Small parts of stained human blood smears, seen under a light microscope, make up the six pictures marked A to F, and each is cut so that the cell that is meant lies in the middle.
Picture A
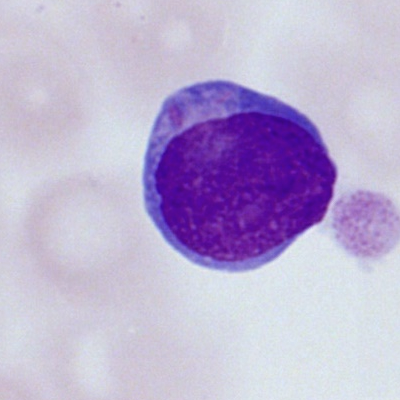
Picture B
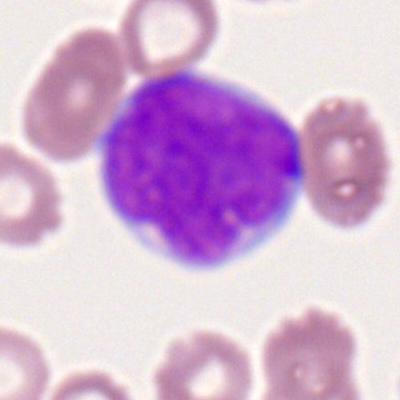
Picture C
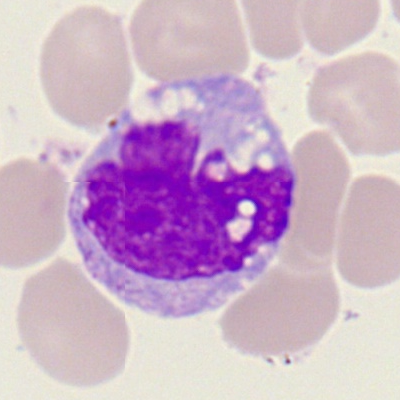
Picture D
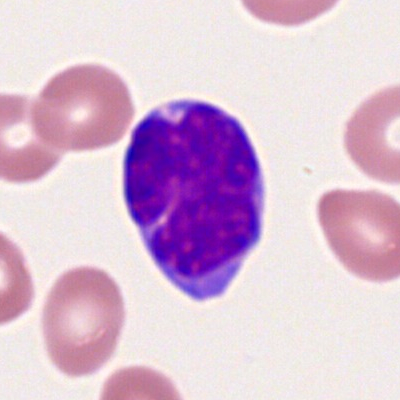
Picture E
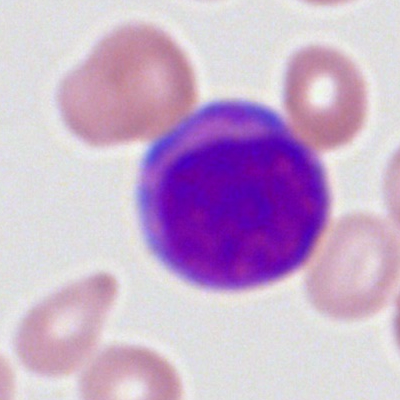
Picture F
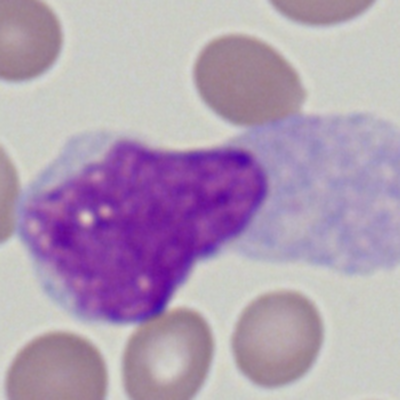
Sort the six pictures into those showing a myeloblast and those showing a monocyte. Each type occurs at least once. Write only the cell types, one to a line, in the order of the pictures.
myeloblast
myeloblast
monocyte
monocyte
myeloblast
monocyte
